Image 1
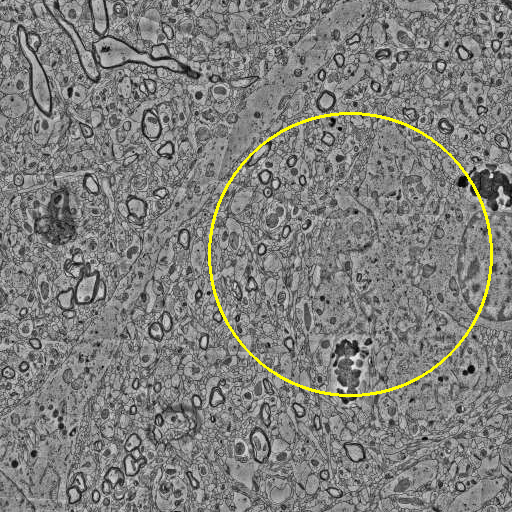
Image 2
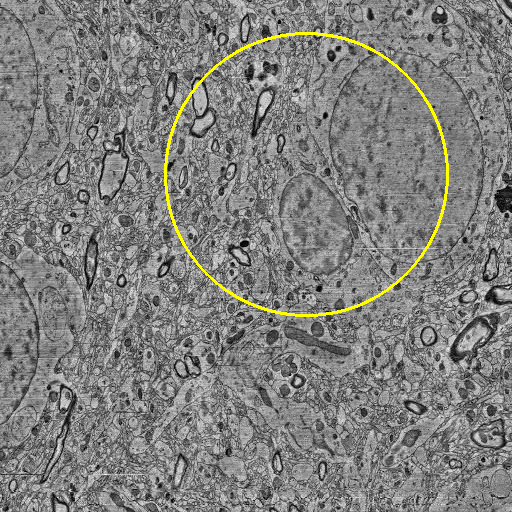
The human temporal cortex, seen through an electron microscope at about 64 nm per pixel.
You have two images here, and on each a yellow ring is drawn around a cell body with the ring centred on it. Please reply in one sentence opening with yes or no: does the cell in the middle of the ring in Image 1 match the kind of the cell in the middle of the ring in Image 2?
Yes, the two images show cells of one kind at the centres of their rings.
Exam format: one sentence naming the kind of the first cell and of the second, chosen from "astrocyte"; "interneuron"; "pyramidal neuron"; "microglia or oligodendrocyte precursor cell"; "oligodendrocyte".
Both rings mark an oligodendrocyte, one in each picture.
